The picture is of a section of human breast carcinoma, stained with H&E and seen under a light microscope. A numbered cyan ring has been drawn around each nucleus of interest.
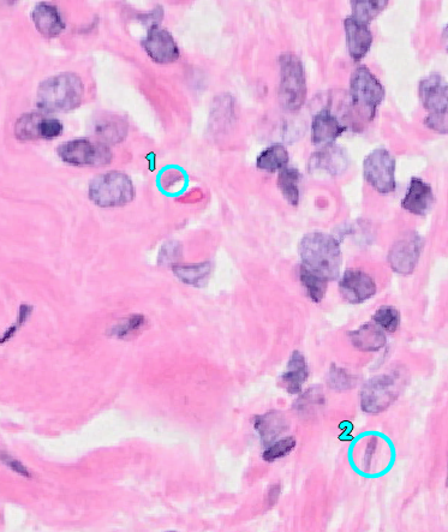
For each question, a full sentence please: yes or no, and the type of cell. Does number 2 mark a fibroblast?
Yes, the cell at marker 2 is a fibroblast.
